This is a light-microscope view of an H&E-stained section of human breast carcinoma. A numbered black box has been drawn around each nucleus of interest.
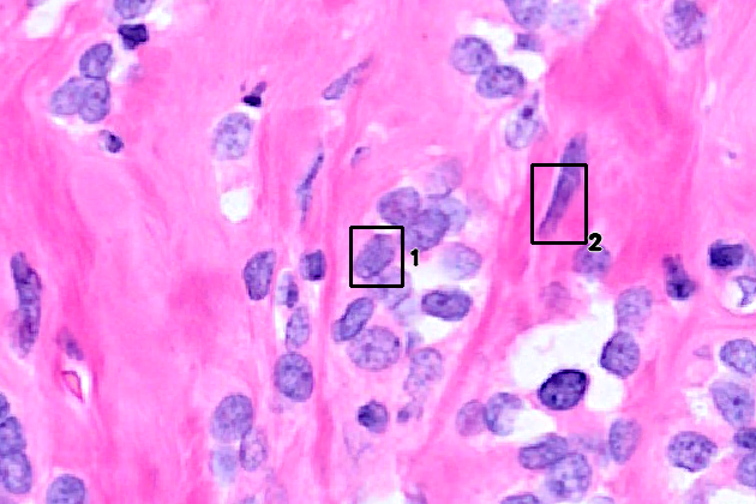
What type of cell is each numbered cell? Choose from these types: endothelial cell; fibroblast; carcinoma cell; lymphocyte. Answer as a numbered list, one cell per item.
1. carcinoma cell
2. fibroblast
